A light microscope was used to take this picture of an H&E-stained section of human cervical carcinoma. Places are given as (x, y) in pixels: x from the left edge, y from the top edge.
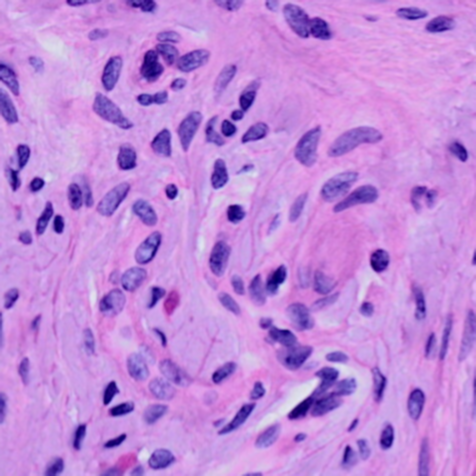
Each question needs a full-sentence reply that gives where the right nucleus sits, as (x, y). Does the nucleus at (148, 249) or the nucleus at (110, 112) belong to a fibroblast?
Of the two, the nucleus at (110, 112) is the one contained in a fibroblast.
